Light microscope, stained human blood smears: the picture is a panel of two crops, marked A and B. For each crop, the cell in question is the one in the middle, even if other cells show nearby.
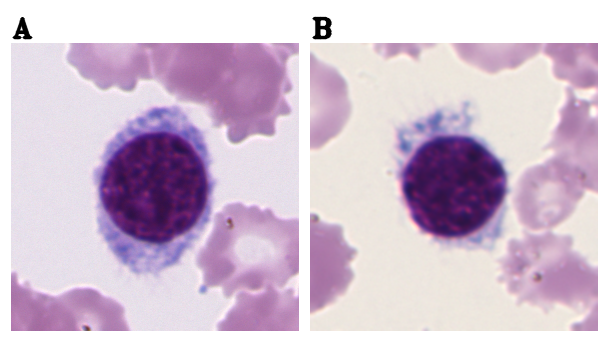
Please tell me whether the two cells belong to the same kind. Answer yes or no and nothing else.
yes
